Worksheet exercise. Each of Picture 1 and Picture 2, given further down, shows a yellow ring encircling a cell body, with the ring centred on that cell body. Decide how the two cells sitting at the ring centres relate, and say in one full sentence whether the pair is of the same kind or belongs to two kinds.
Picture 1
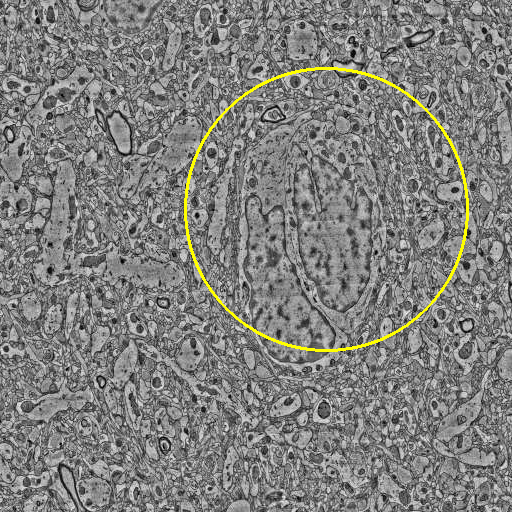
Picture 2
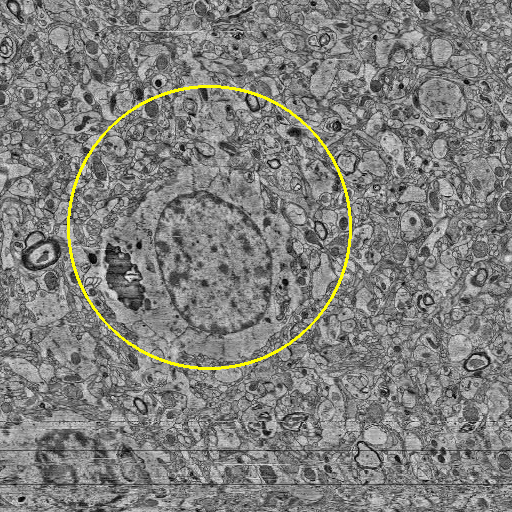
The cells at the ring centres in Picture 1 and Picture 2 belong to two kinds.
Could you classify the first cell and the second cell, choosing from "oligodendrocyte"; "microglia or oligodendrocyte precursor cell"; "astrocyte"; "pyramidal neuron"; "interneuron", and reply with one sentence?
The second cell is an astrocyte, while the first is an interneuron.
